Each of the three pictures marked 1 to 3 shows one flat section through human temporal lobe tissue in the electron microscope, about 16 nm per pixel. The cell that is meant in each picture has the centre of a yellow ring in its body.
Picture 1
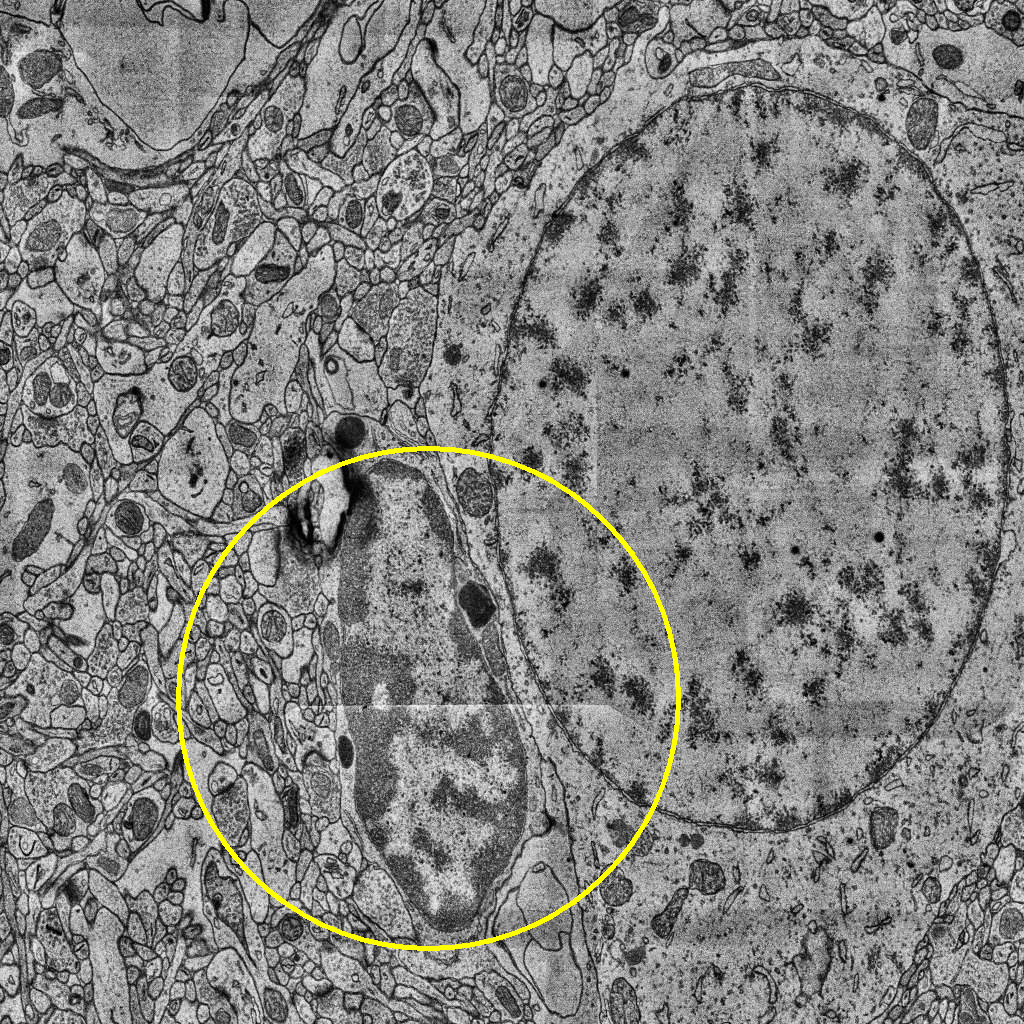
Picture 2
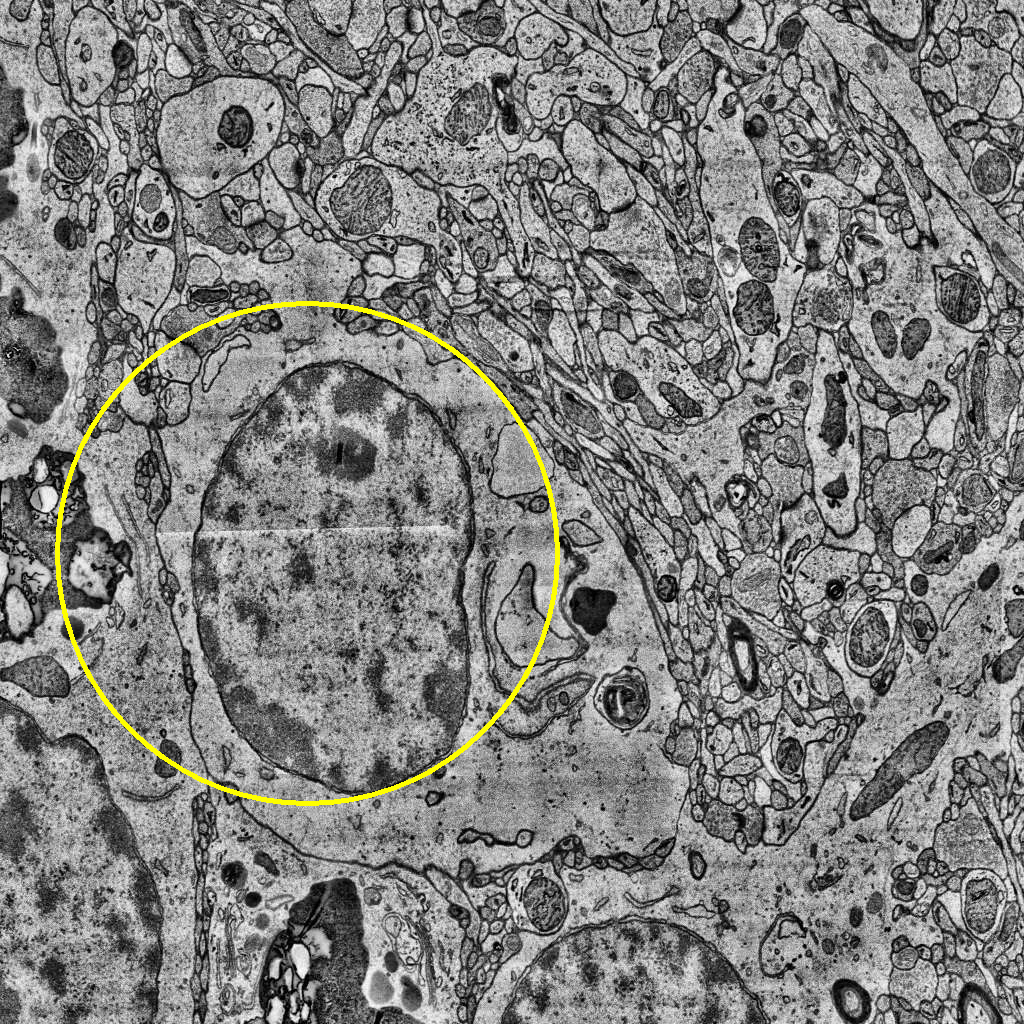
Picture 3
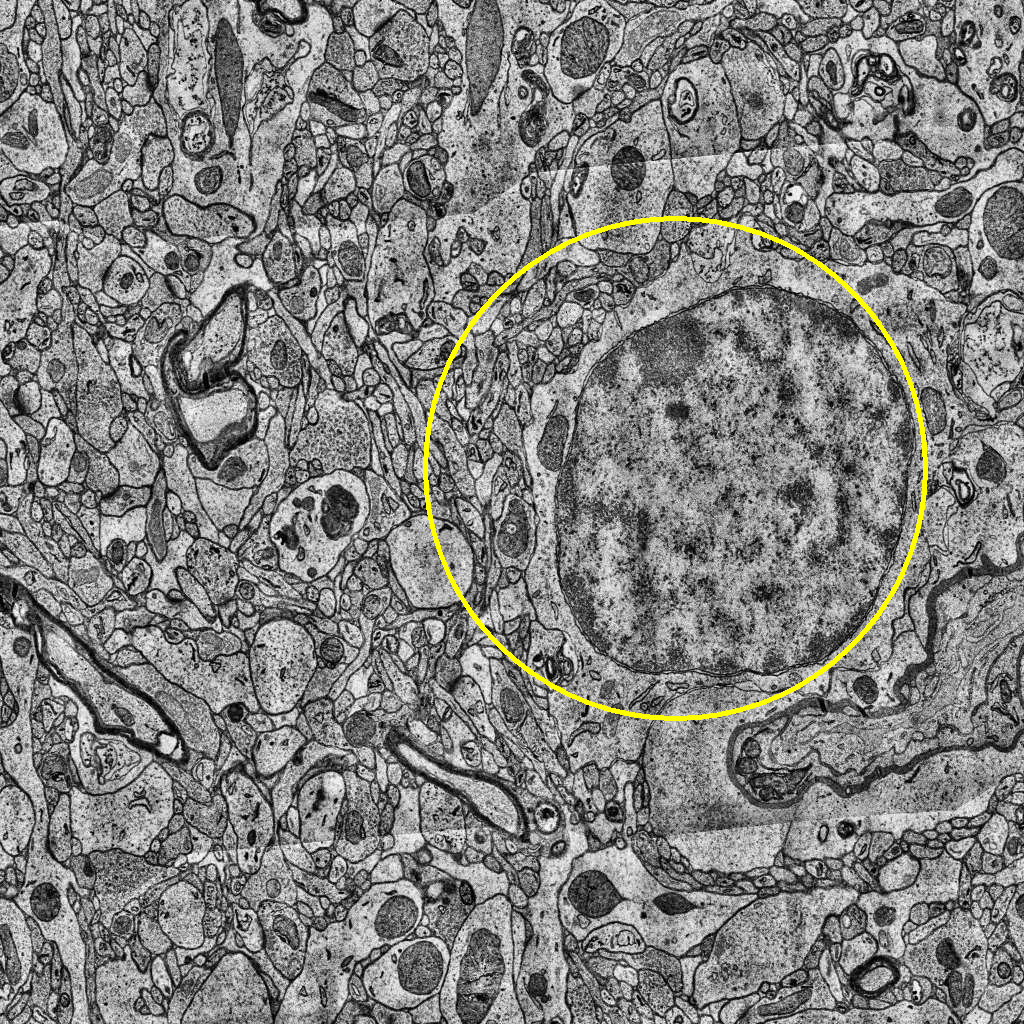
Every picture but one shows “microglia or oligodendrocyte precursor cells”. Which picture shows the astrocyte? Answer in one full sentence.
The cell in picture 2 is the astrocyte.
